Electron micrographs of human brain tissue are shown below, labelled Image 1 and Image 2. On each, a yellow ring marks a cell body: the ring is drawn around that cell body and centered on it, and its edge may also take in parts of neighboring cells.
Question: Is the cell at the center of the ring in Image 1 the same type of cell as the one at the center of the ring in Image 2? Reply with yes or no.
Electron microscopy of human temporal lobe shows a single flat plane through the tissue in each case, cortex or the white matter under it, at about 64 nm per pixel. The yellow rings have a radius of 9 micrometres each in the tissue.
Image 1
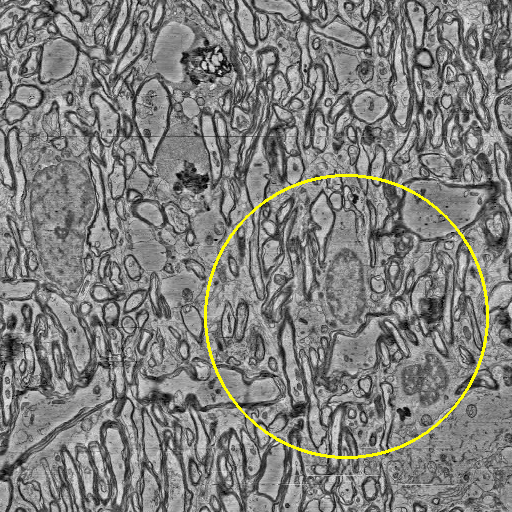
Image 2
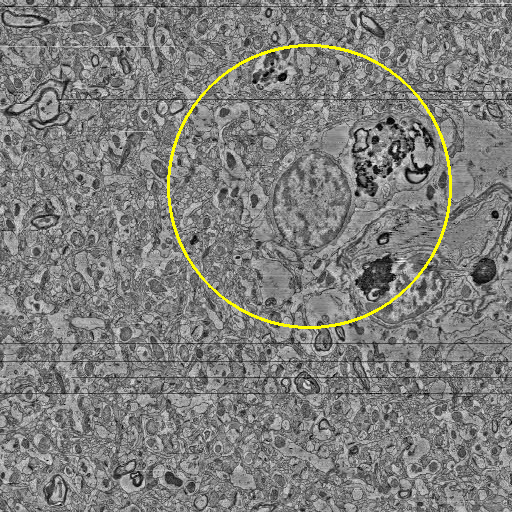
yes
